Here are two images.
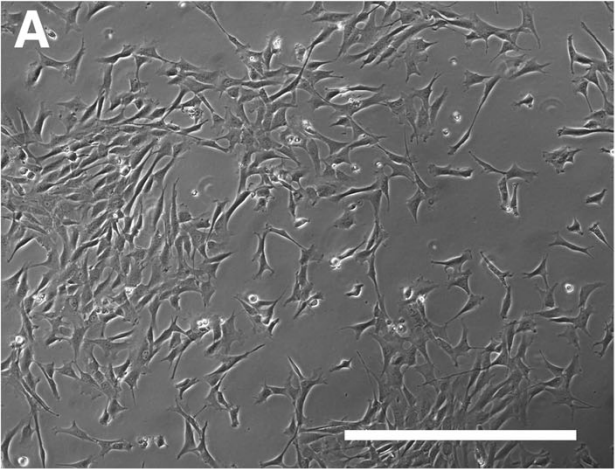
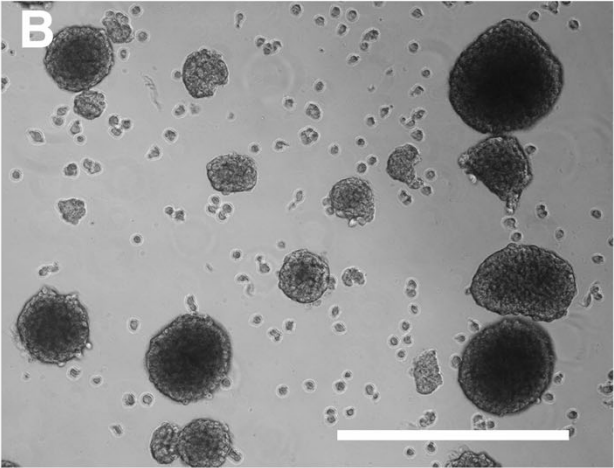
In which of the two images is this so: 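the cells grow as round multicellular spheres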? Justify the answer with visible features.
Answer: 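The second image. Second image: round, dense clusters of many cells with single rounded cells between them. First image: flattened spread cells with long processes attached to the surface, no clusters.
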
